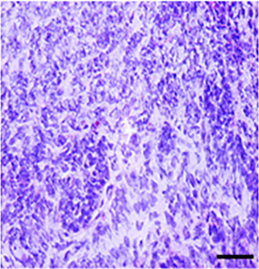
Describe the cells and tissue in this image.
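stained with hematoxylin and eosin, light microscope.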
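Tumor tissue made of densely packed tumor cells in solid sheets. Nuclei are oval to spindle-shaped, stained deep purple, crowded closely together with little cytoplasm between them. In places the cells run in streaming, swirling bundles; elsewhere they form denser, darker clusters. Cytoplasm and stroma stain faintly pale violet to pink. No large empty spaces or clearly disrupted areas are seen; the tissue is cohesive throughout the field.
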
